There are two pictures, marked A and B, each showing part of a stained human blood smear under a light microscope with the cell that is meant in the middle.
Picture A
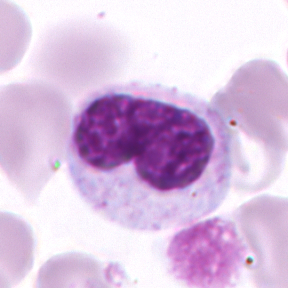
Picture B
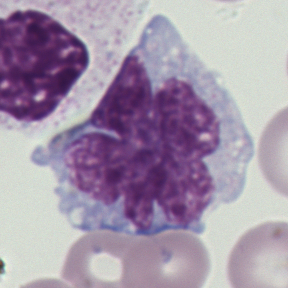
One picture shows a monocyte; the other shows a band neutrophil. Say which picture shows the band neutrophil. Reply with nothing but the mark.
A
